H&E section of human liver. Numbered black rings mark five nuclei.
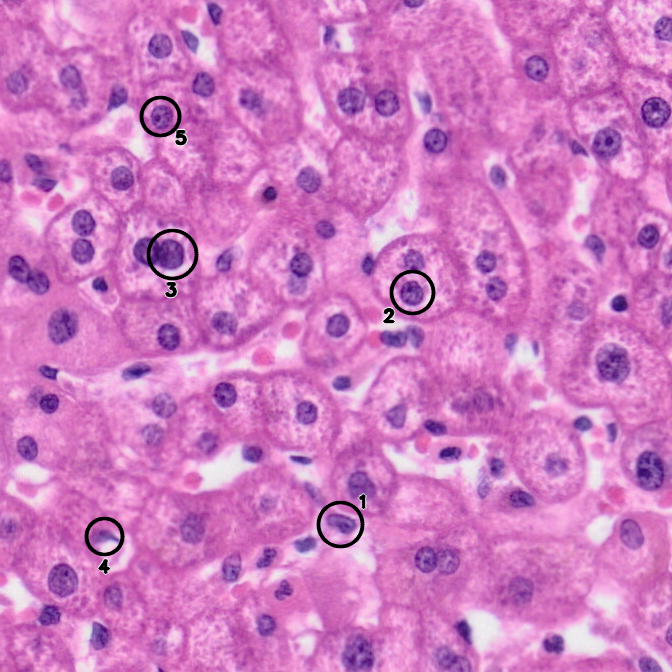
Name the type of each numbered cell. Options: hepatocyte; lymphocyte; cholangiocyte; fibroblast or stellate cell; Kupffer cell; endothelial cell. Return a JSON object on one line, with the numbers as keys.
{"1": "Kupffer cell", "2": "hepatocyte", "3": "hepatocyte", "4": "endothelial cell", "5": "hepatocyte"}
